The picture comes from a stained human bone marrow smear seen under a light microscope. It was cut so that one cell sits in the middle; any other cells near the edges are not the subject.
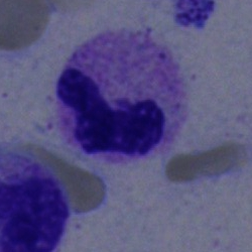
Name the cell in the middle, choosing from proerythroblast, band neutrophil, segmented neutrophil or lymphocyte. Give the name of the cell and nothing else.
segmented neutrophil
